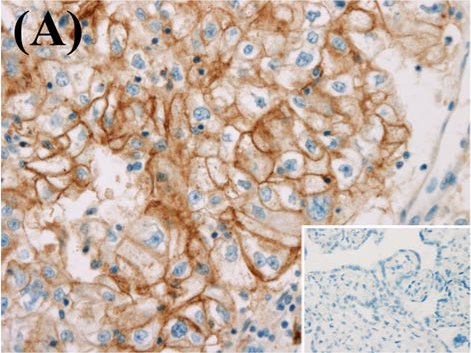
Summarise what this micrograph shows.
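A sheet of large polygonal tumor cells fills the field, each with pale, clear cytoplasm and a round blue nucleus, some with a visible nucleolus. Brown stain traces the borders of nearly every cell, giving a chicken-wire pattern of outlines around the clear cytoplasm. The nuclei themselves remain blue, so the brown lies at the cell membranes rather than inside the cells.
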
